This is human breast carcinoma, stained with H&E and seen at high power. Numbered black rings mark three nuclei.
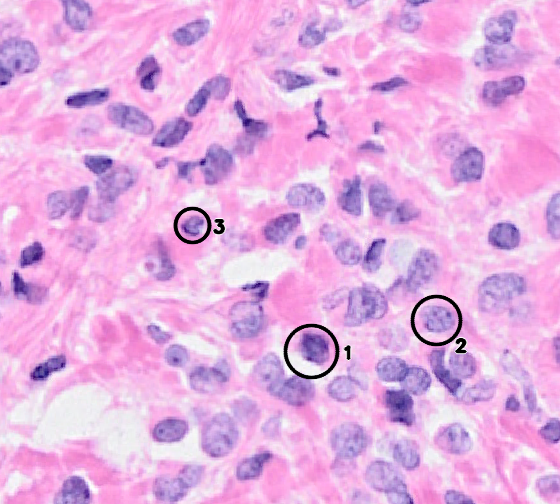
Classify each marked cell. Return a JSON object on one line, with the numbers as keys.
{"1": "carcinoma cell", "2": "carcinoma cell", "3": "endothelial cell"}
